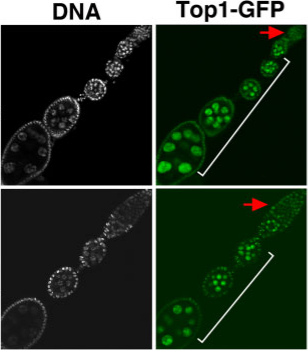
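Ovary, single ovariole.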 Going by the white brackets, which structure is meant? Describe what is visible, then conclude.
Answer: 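The brackets span a row of oval chambers that grow larger along the chain. Each chamber holds several large nuclei surrounded by a rim of small nuclei.
Early- and mid-staged egg chambers.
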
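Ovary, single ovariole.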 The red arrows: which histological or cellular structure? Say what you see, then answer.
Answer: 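The arrows point to the narrow tip of the chain of egg chambers. No large round chamber has formed at that tip.
Hence: germarium.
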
